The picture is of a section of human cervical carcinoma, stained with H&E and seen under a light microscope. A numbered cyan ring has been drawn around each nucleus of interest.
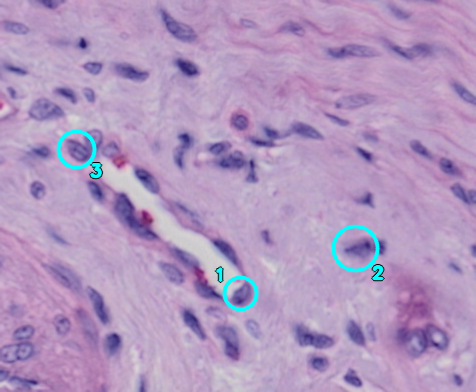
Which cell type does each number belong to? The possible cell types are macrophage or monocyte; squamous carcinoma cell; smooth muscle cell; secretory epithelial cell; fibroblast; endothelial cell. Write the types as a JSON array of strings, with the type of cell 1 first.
["endothelial cell", "fibroblast", "endothelial cell"]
